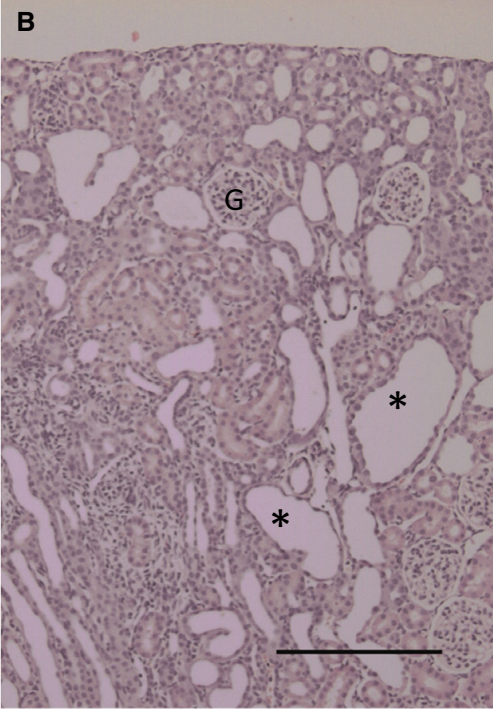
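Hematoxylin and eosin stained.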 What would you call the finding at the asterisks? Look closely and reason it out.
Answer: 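Each asterisk lies in a large empty space far wider than normal tubules. These spaces are bounded by a thin, flattened cell layer.
Answer: microcysts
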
